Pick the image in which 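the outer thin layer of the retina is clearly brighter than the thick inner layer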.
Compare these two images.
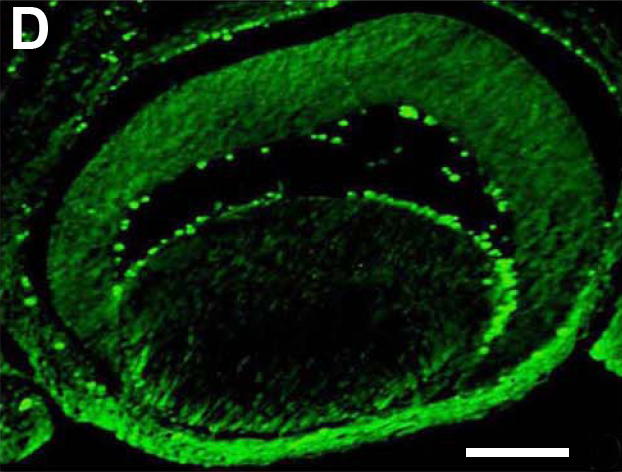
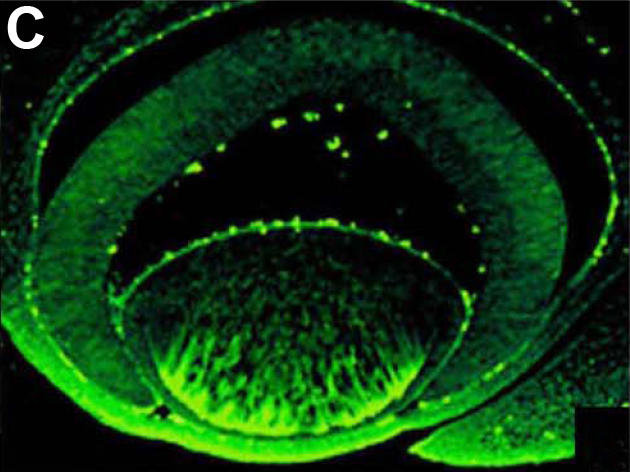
The second image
